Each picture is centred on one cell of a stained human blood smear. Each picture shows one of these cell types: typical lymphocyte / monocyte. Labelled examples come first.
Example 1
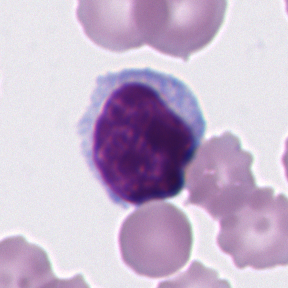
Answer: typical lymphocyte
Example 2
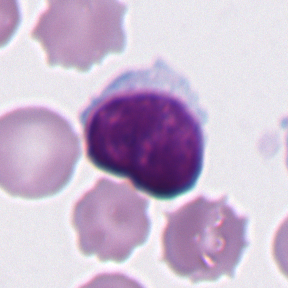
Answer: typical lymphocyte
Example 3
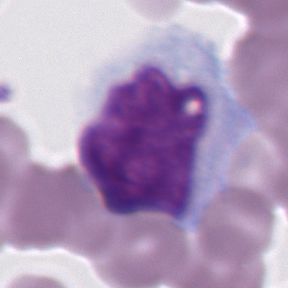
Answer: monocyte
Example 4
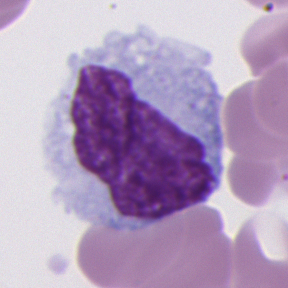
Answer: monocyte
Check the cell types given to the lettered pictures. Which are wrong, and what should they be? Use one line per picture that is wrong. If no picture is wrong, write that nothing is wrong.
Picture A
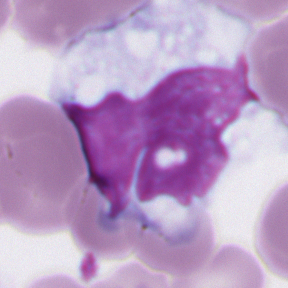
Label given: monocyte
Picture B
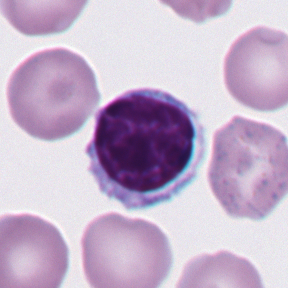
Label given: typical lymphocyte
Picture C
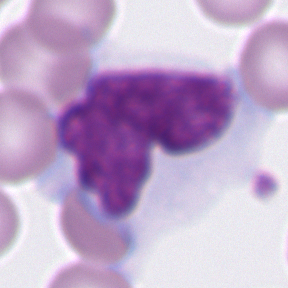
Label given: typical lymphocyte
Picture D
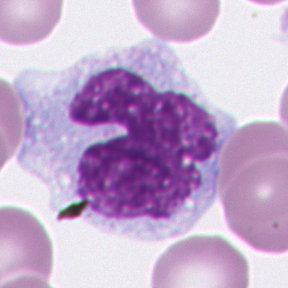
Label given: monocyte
C should be monocyte, not typical lymphocyte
